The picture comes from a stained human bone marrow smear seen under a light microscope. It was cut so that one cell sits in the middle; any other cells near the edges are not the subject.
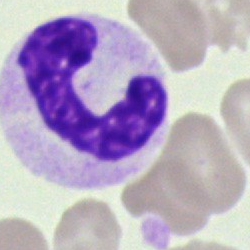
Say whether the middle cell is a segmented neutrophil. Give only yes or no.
no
